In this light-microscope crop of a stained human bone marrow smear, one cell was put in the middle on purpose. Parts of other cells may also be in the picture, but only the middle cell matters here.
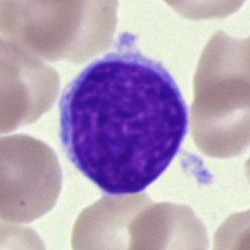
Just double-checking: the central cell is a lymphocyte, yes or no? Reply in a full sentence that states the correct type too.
Yes, the cell found in the center of the crop is a lymphocyte.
